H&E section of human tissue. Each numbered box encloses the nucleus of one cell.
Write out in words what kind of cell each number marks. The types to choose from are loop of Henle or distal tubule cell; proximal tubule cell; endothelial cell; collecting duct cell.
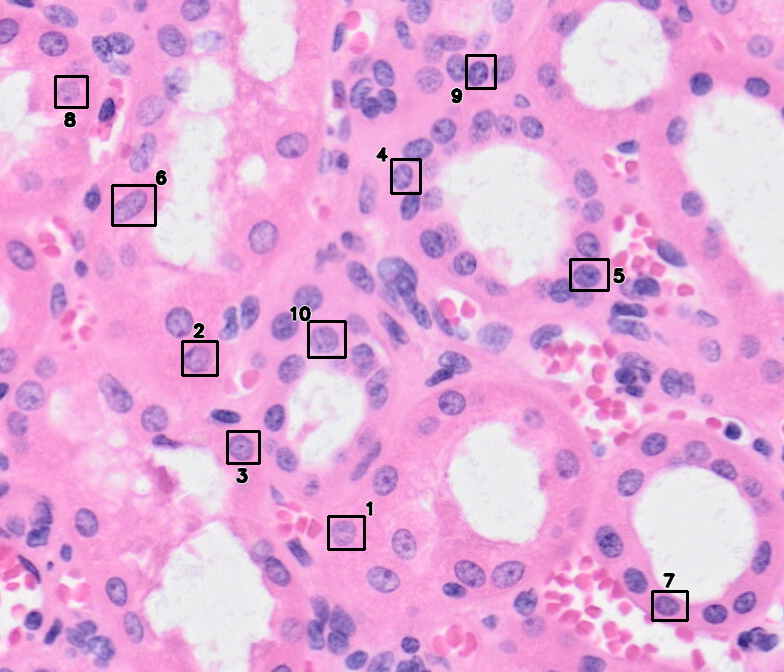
Cells 1, 2, 3, 6 and 8 are proximal tubule cells. Cells 4, 5, 7, 9 and 10 are collecting duct cells.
